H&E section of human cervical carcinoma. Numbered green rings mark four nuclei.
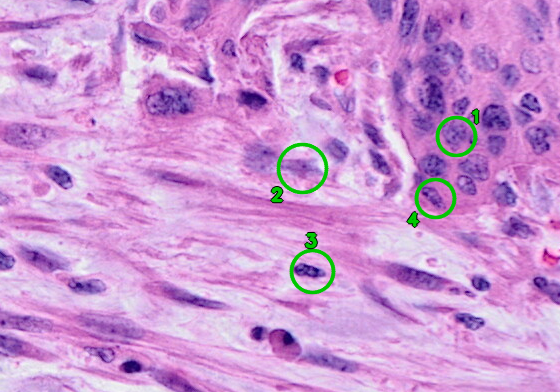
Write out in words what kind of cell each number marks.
Cells 1 and 4 are squamous carcinoma cells. Cell 2 is a fibroblast. Cell 3 is a lymphocyte.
